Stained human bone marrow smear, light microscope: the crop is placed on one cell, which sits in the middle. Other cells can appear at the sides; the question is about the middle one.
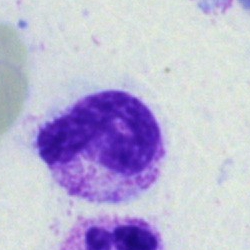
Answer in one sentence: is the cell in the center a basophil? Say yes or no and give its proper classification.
No, the central cell should be identified as a segmented neutrophil, not as a basophil.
